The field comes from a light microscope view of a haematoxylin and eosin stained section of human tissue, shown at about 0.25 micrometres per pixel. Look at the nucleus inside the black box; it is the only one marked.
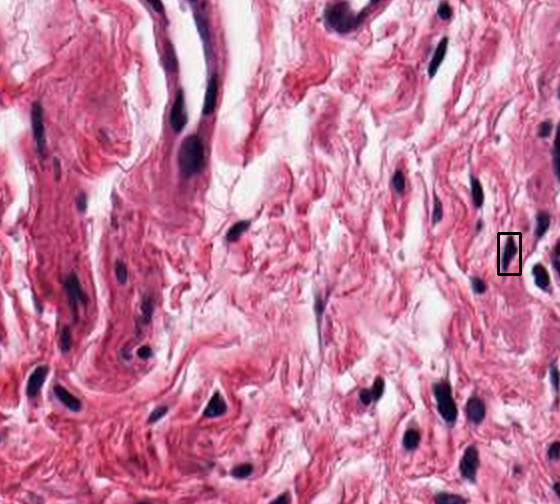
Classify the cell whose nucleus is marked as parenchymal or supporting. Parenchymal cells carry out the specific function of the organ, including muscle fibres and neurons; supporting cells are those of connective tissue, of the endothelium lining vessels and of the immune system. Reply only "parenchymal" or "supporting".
supporting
